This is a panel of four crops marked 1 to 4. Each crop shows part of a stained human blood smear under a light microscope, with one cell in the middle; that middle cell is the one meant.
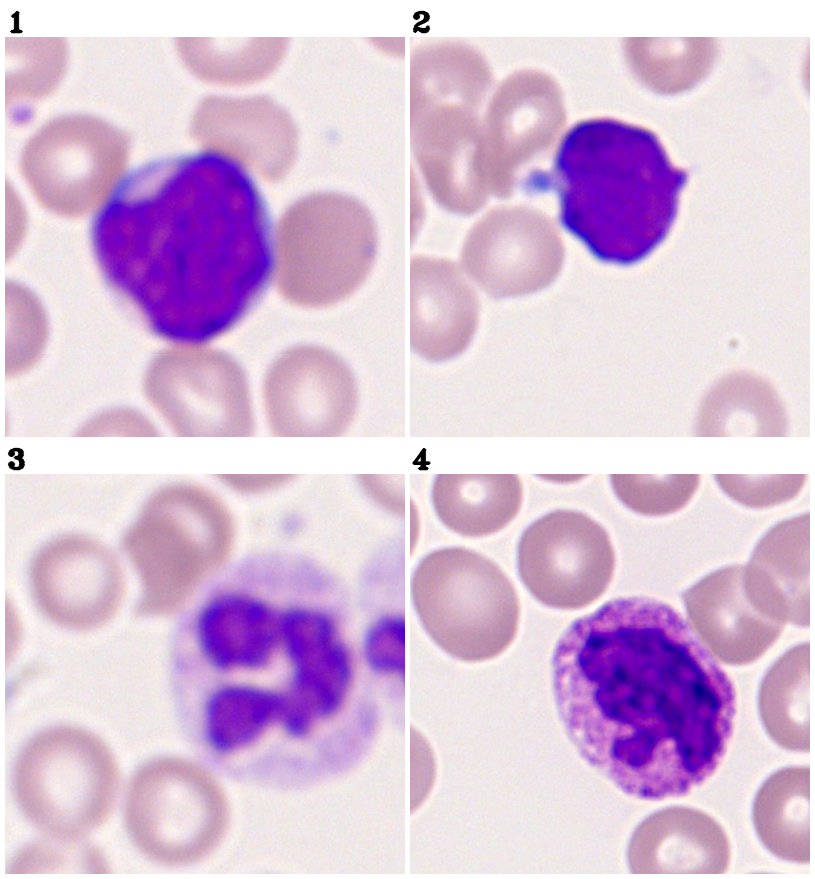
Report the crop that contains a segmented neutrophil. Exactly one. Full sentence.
The crop bearing a segmented neutrophil is crop 3.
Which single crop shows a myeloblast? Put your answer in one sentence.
That would be crop 1; it shows a myeloblast.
